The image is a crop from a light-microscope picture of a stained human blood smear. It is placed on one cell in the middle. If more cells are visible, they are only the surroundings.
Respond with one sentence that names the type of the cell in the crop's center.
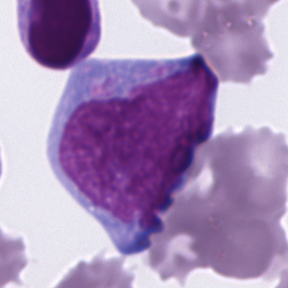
The centrally located cell in the crop is a myeloblast.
